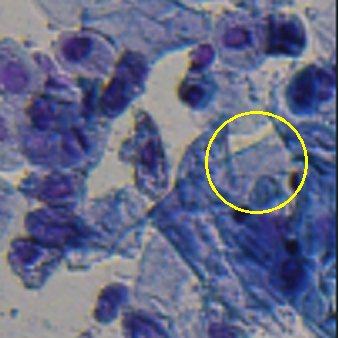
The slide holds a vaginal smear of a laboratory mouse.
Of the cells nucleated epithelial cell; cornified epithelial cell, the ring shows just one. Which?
The ring shows a cornified epithelial cell.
